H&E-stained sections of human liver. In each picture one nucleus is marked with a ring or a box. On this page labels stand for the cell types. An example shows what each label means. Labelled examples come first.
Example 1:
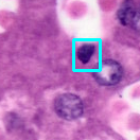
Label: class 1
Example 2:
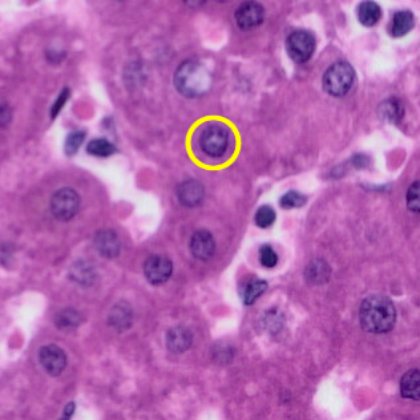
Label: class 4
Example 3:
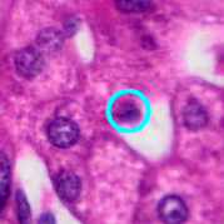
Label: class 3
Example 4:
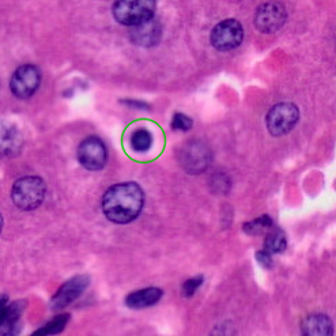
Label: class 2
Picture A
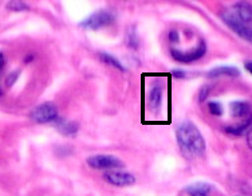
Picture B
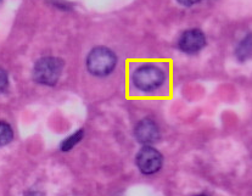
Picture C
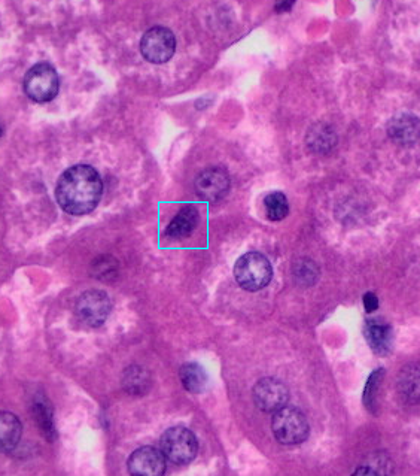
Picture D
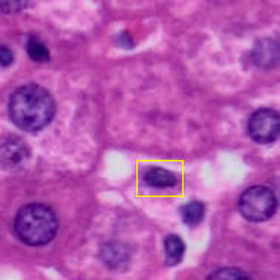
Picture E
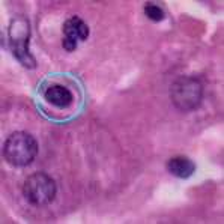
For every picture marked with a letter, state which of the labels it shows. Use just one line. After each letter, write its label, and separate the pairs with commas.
A class 1, B class 4, C class 1, D class 3, E class 2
